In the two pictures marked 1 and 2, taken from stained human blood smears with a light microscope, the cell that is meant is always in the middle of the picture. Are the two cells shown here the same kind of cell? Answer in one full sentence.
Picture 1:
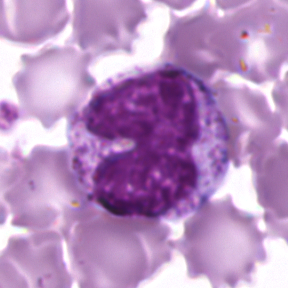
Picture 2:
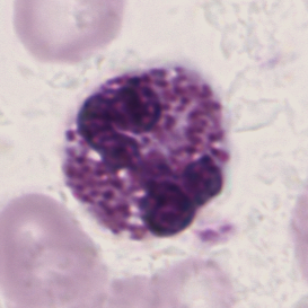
No, they differ: the cell is a band neutrophil in picture 1 and an eosinophil in picture 2.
